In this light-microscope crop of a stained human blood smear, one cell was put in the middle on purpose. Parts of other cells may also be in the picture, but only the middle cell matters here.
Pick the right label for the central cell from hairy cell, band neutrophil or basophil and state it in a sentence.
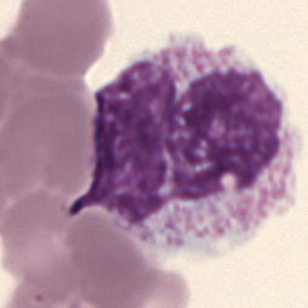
The central cell shown in this smear crop is a band neutrophil.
